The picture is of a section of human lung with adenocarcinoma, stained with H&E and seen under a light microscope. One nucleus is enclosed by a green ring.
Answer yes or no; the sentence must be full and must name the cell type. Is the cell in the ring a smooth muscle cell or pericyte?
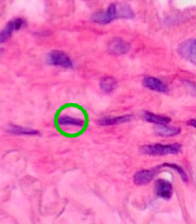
Yes, when classified by type, the cell in the ring is a smooth muscle cell or pericyte.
